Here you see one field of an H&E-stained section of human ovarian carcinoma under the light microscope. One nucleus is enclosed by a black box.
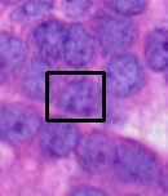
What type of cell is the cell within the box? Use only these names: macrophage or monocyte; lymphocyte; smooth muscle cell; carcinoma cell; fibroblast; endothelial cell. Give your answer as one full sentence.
This is a carcinoma cell.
